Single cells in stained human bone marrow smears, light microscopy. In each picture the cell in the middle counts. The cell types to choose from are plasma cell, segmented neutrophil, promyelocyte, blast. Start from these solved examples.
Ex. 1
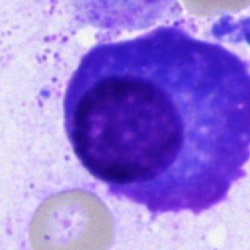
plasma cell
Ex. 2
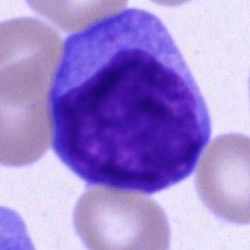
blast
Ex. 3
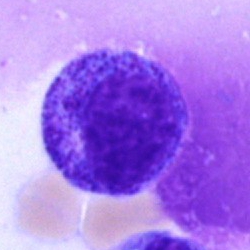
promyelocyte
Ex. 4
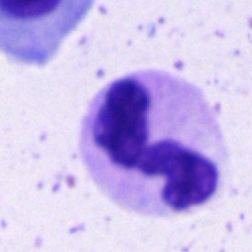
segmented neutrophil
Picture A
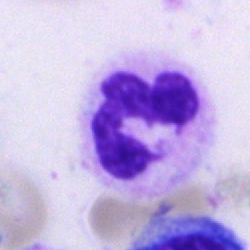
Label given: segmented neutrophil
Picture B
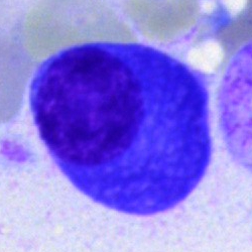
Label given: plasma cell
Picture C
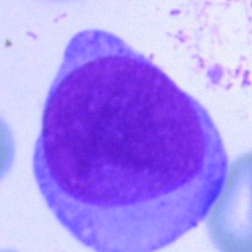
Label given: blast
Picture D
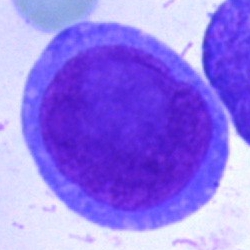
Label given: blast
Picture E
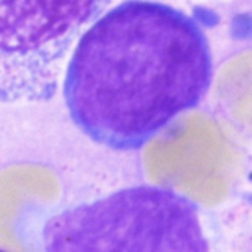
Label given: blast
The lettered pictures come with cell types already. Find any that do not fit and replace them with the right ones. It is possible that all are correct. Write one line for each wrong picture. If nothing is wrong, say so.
Every label is right.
